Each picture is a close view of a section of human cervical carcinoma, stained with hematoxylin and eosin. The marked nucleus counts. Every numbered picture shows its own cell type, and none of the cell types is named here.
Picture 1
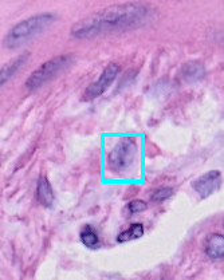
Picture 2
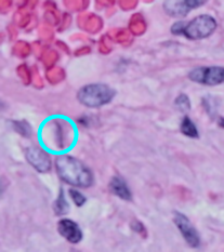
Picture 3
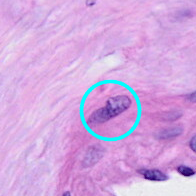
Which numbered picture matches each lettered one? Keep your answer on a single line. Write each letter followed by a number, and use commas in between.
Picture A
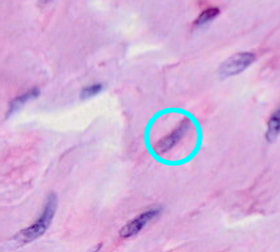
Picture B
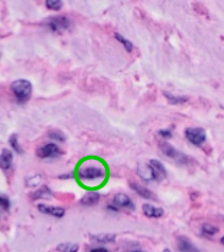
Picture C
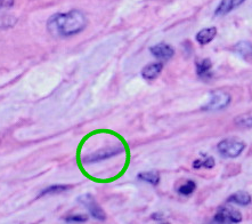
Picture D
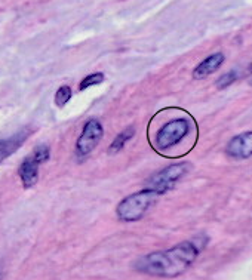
A 3, B 2, C 1, D 3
